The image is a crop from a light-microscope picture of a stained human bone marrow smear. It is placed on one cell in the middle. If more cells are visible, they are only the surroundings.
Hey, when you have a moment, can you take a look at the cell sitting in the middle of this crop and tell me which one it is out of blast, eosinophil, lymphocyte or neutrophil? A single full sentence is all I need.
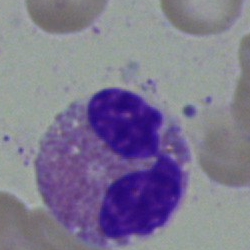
At the center of the crop sits an eosinophil.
